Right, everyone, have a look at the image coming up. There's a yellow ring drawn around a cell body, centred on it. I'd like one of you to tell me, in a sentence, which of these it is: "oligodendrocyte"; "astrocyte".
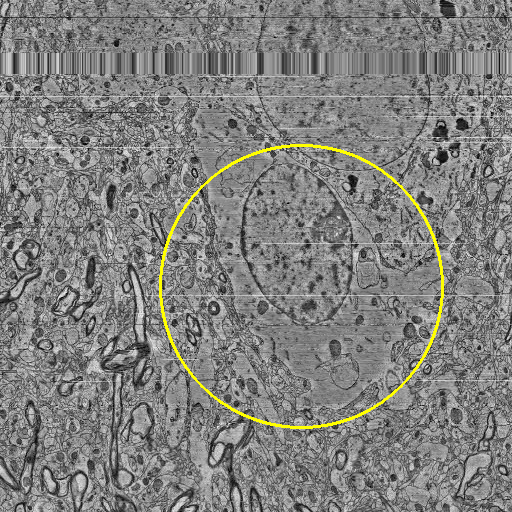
The yellow ring sits on an astrocyte.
